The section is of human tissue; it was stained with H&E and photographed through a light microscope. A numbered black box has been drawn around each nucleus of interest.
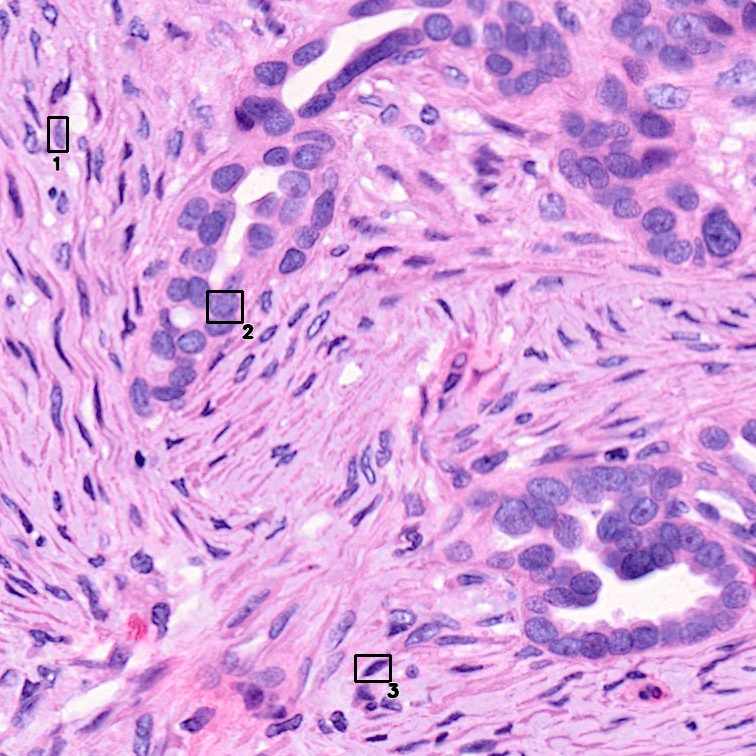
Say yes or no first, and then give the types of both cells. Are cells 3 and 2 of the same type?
No, cell 3 is a fibroblast, and cell 2 is, by contrast, a carcinoma cell.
